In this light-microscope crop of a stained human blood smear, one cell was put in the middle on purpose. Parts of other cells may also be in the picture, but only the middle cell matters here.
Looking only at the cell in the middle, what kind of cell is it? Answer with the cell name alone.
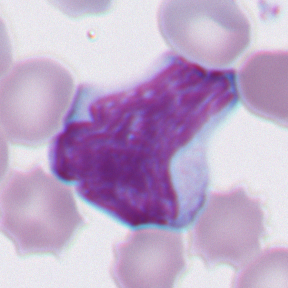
typical lymphocyte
